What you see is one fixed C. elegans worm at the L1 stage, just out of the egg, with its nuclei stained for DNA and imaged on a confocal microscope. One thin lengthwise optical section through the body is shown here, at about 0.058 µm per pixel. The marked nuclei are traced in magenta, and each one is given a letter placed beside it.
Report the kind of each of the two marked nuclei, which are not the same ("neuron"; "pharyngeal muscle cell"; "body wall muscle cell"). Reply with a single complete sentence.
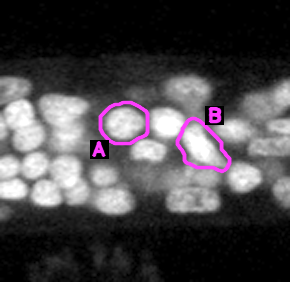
A is the nucleus of a neuron; B is the nucleus of a pharyngeal muscle cell.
